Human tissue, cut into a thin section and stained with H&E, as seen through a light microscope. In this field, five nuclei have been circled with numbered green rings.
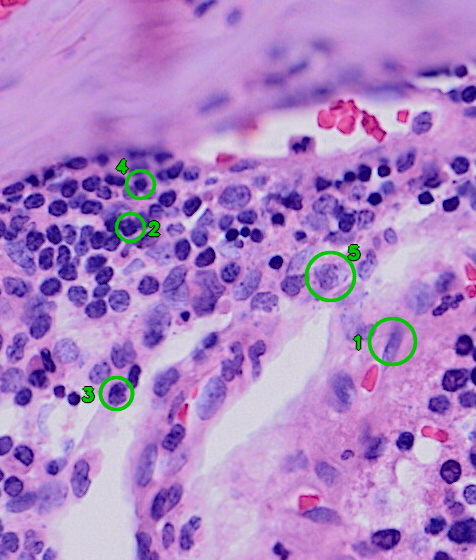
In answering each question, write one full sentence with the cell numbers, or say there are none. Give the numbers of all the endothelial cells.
Cell 1 is an endothelial cell, whereas each of the other numbered cells is not.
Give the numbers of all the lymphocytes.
The cells marked with the numbers 2, 3 and 4 are lymphocytes.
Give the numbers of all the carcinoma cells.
Identified by number, the marked cells include no carcinoma cells.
